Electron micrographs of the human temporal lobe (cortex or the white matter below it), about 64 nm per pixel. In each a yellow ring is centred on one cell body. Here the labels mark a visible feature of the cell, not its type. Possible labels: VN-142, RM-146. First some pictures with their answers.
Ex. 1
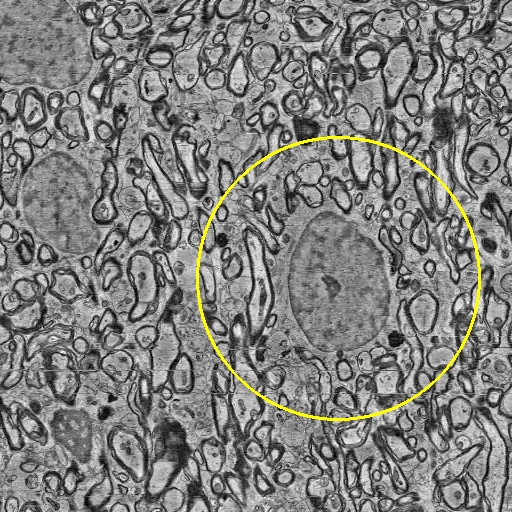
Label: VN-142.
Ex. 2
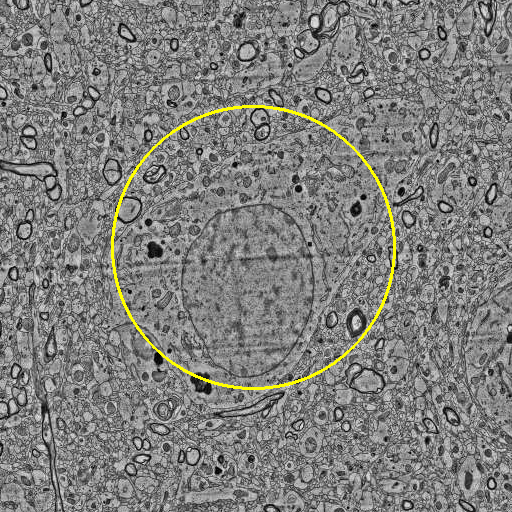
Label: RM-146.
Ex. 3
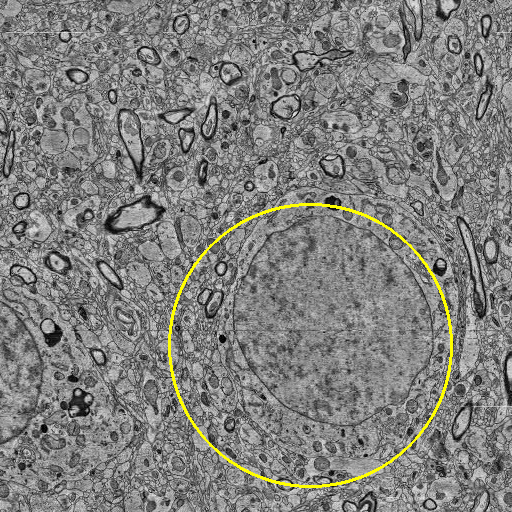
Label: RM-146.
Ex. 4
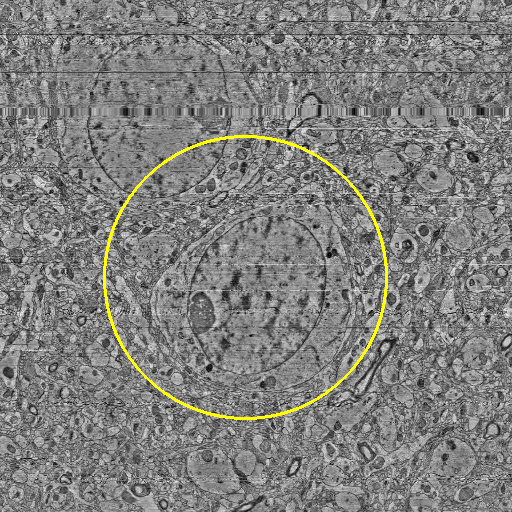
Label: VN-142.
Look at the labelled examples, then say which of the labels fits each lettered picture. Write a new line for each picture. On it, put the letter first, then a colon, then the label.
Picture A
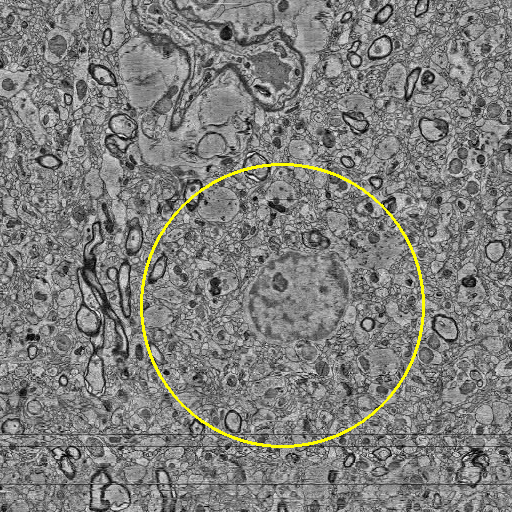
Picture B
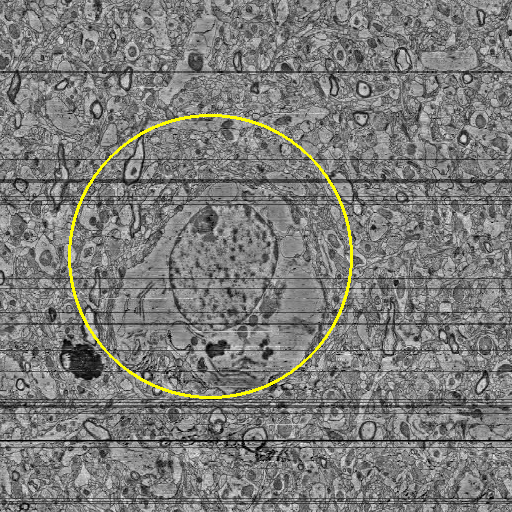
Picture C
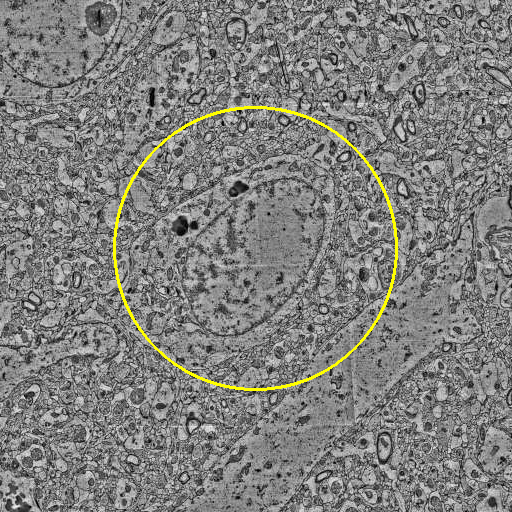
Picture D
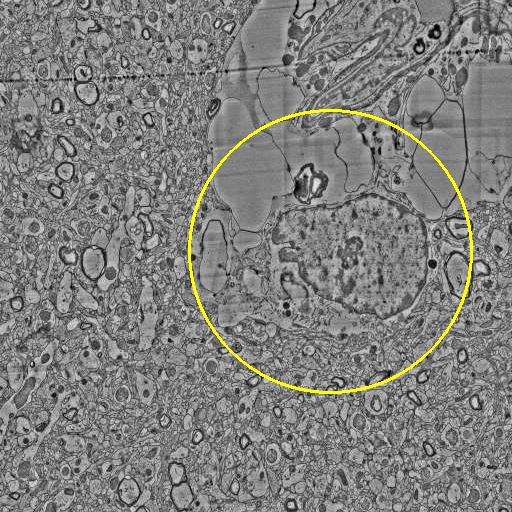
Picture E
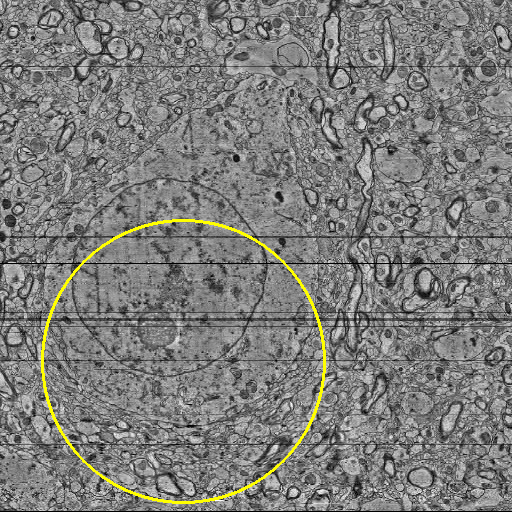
A: VN-142.
B: VN-142.
C: RM-146.
D: VN-142.
E: VN-142.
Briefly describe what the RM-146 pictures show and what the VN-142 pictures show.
Seen in RM-146: no nucleolus seen; seen in VN-142: nucleolus seen.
